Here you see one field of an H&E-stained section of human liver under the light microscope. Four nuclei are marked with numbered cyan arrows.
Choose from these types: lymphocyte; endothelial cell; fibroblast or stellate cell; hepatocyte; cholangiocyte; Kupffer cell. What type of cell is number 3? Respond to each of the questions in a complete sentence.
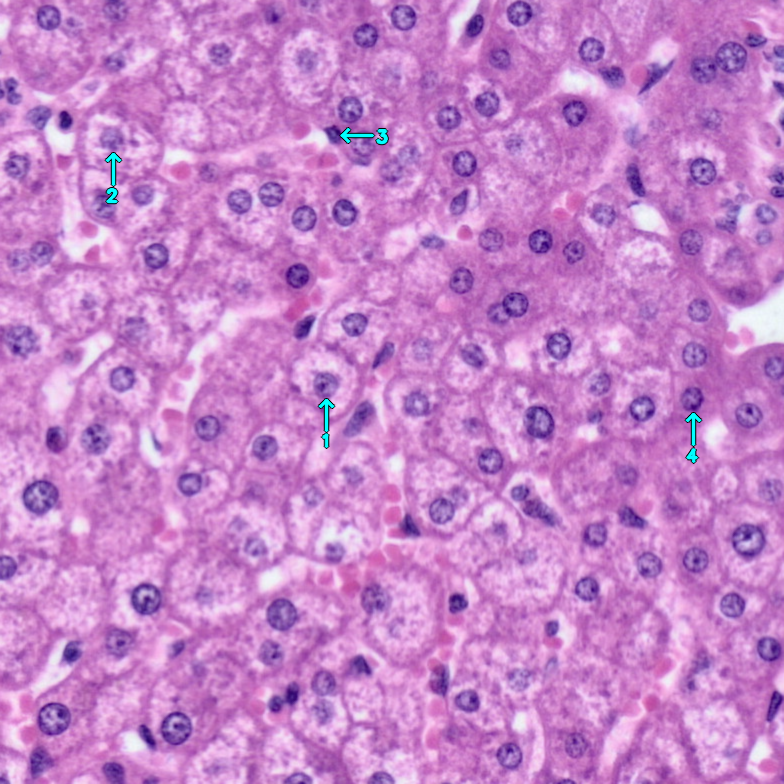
The cell tagged with 3 in this tissue section is a fibroblast or stellate cell.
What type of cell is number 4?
Marked with the number 4, this cell is a hepatocyte.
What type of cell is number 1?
In this section, the cell tagged 1 is a hepatocyte.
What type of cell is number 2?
The cell identified by the number 2 is a hepatocyte.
